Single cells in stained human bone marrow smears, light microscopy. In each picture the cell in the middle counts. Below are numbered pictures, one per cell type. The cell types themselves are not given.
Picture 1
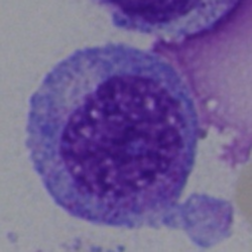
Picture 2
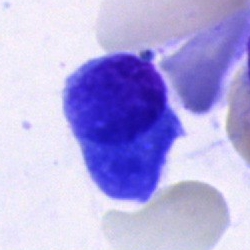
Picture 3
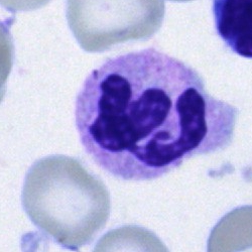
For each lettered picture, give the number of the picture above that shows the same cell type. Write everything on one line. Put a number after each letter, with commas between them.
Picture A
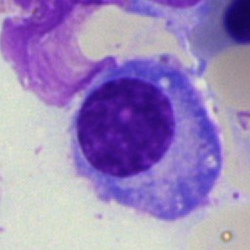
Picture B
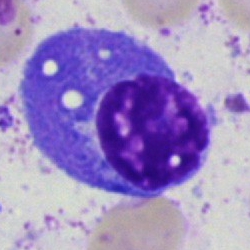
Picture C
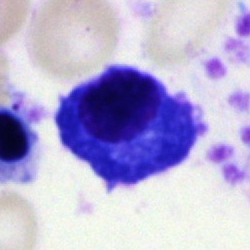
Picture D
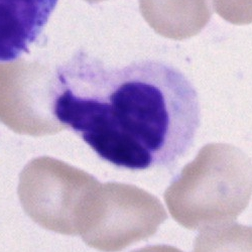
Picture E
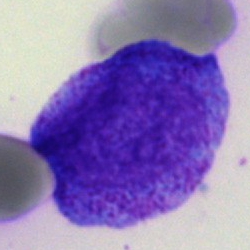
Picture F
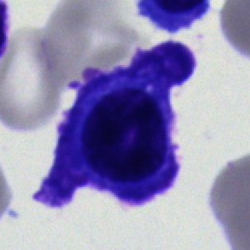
A 2, B 2, C 2, D 3, E 1, F 2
